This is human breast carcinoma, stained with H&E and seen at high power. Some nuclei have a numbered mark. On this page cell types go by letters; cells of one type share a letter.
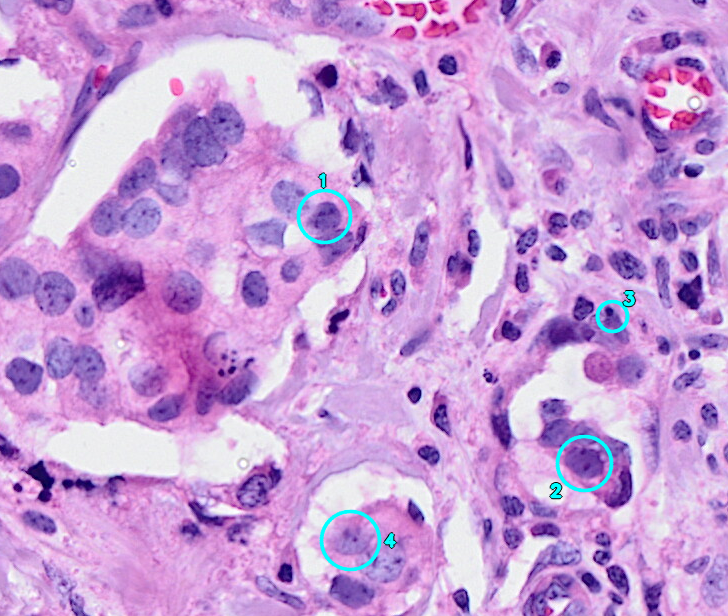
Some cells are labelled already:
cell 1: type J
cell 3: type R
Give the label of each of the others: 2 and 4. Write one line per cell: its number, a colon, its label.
2: type J
4: type J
